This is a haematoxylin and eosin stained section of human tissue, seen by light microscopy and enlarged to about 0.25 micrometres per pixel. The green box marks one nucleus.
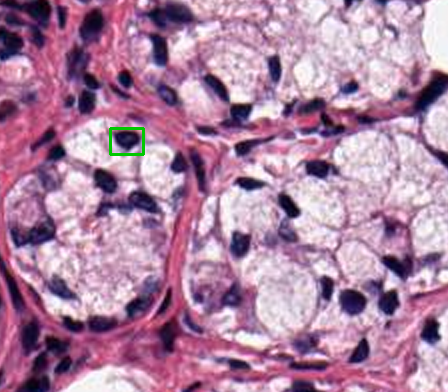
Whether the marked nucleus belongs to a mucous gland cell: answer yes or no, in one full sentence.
Yes, the marked nucleus is that of a mucous gland cell in this section.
